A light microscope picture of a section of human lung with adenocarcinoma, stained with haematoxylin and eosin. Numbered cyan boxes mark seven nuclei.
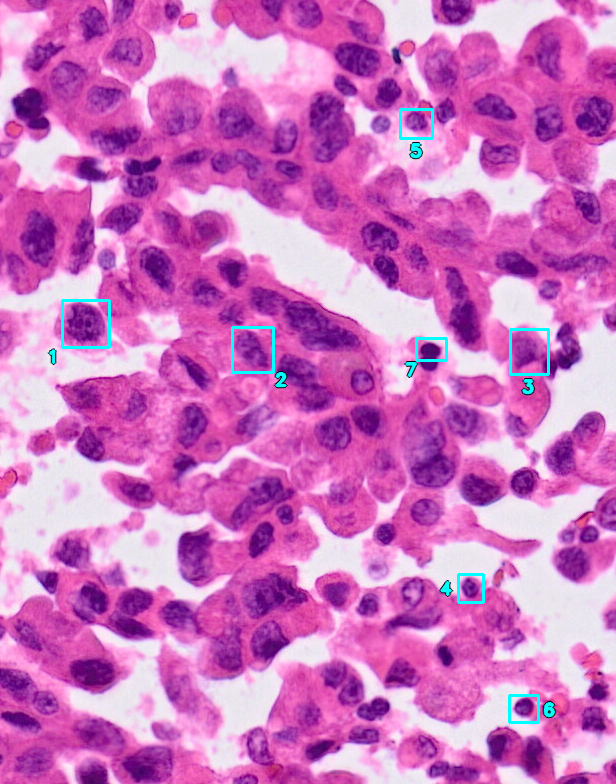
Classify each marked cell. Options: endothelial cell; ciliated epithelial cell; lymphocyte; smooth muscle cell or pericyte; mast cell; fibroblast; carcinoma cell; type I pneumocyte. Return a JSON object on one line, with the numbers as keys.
{"1": "carcinoma cell", "2": "carcinoma cell", "3": "carcinoma cell", "4": "lymphocyte", "5": "lymphocyte", "6": "lymphocyte", "7": "lymphocyte"}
